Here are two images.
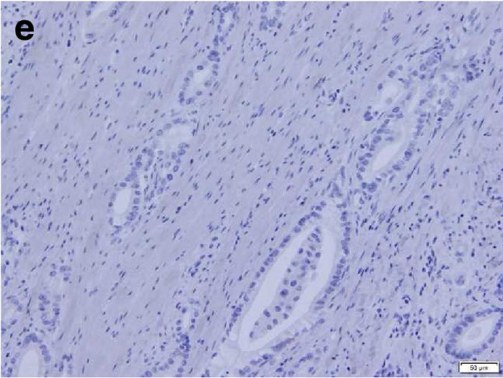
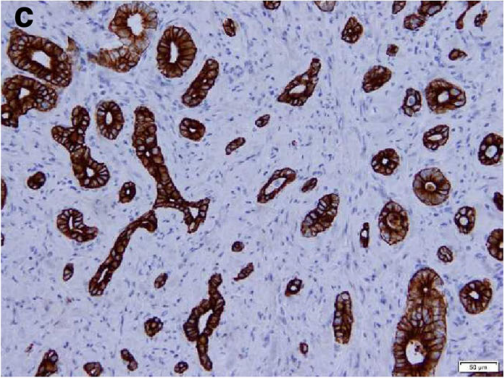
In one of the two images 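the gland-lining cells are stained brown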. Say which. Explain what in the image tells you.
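The second image. First image: glands and stroma are only blue, with no brown in the gland-lining cells. Second image: the cells lining every gland are strongly brown against a blue stroma.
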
